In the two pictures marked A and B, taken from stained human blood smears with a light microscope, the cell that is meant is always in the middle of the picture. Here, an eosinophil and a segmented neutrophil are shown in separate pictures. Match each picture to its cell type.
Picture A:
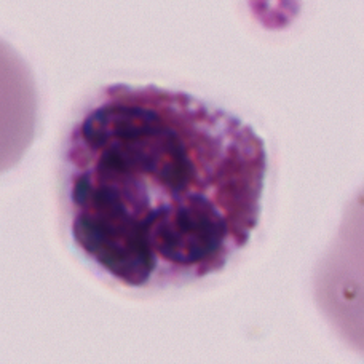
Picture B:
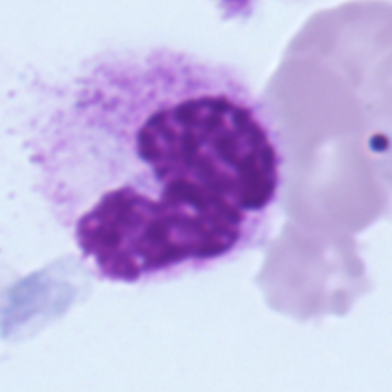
A: eosinophil
B: segmented neutrophil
